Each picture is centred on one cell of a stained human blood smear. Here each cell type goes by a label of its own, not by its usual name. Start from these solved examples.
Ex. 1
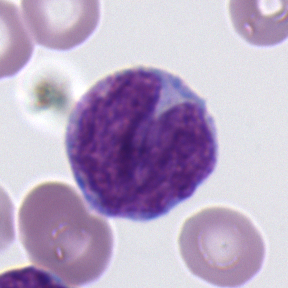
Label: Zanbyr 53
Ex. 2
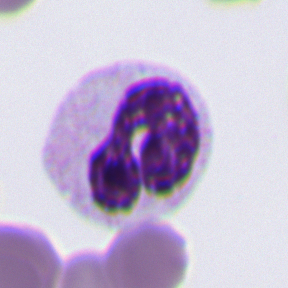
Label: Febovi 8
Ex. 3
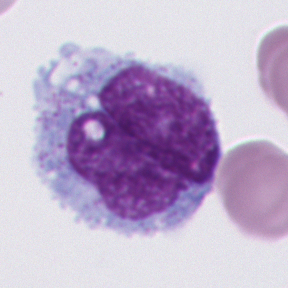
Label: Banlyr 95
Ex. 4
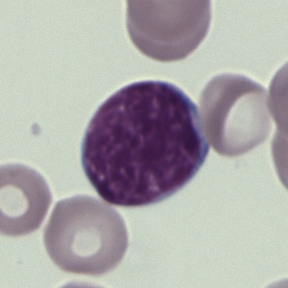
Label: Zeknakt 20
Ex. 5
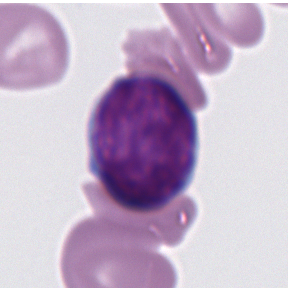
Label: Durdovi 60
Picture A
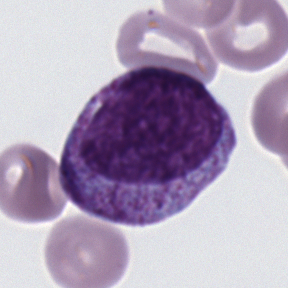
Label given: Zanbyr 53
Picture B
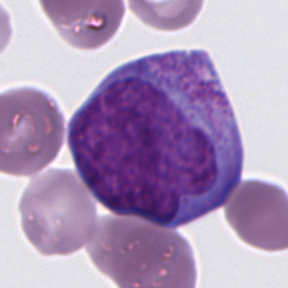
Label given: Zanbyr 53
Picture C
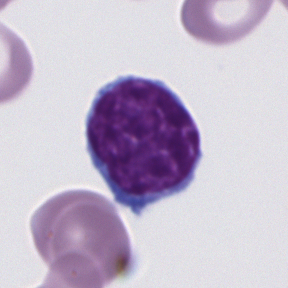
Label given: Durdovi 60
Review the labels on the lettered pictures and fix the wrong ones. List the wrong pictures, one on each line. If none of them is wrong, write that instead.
Wrong: C (Durdovi 60); correct: Zeknakt 20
